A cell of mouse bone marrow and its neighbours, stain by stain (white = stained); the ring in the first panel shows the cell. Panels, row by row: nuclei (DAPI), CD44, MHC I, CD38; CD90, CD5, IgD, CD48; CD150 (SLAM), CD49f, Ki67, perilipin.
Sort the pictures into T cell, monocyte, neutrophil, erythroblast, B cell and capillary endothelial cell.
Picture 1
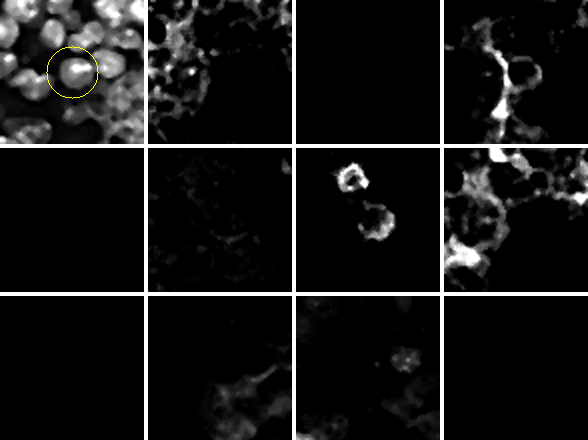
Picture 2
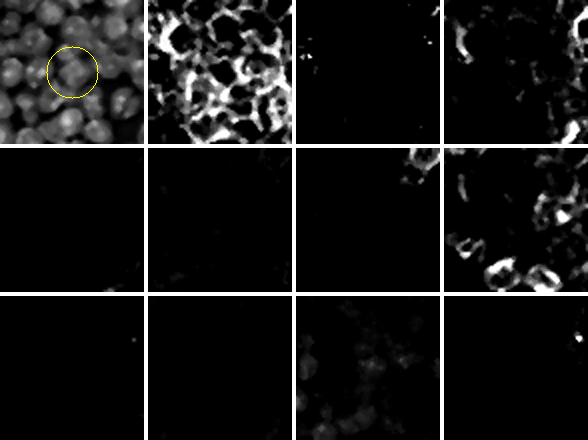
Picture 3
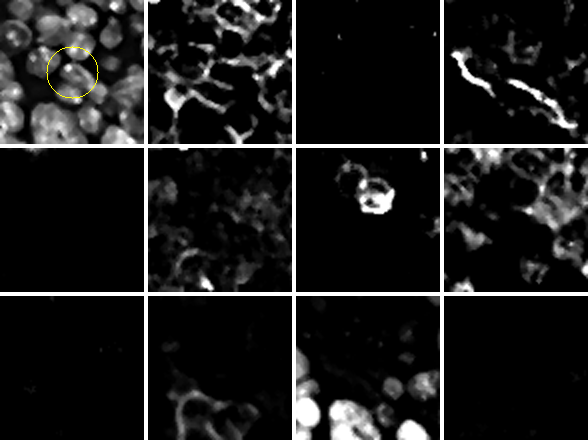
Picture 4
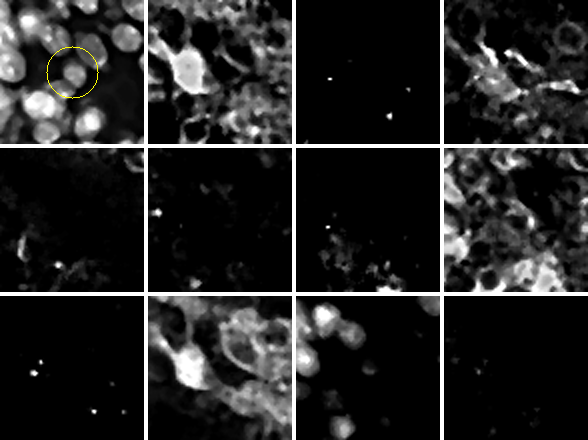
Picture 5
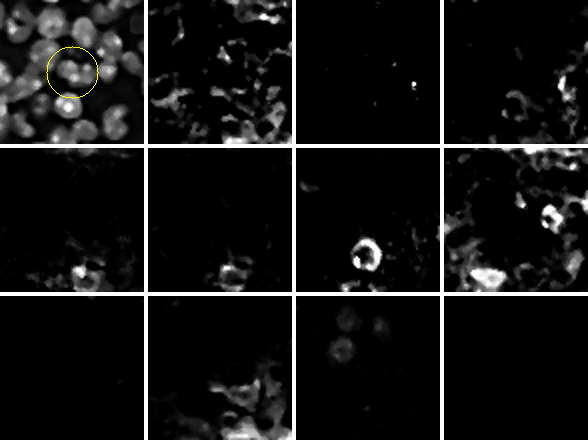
B cells: 1
Erythroblasts: 2
Capillary endothelial cells: 3, 4
Neutrophils: 5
